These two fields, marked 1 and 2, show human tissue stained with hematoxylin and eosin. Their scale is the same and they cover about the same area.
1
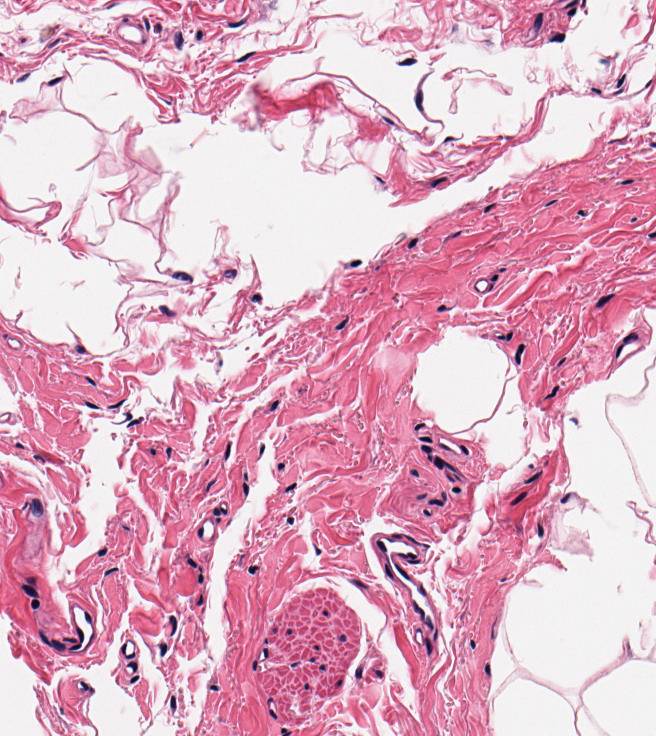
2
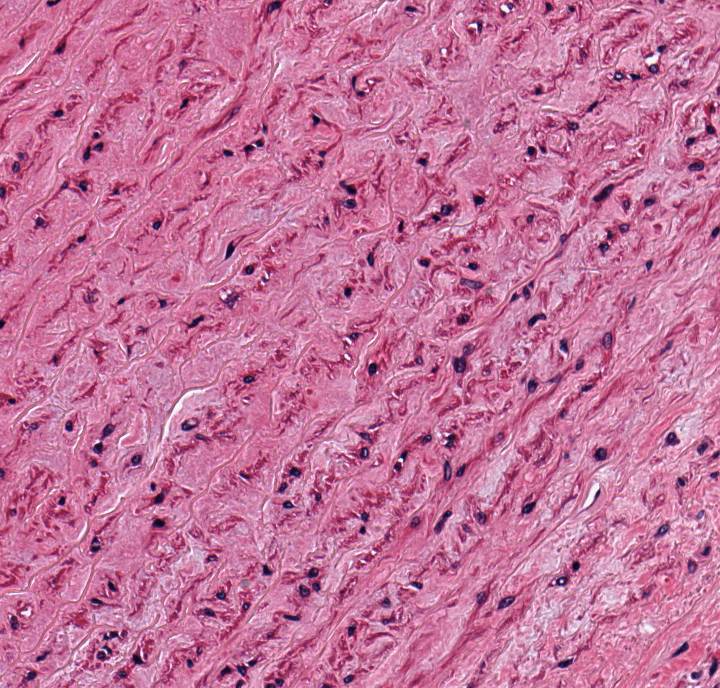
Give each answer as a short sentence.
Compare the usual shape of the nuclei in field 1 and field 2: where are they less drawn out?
The nuclei are rounder in field 2.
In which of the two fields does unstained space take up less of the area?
Less of field 2 is empty and white.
